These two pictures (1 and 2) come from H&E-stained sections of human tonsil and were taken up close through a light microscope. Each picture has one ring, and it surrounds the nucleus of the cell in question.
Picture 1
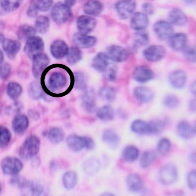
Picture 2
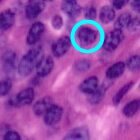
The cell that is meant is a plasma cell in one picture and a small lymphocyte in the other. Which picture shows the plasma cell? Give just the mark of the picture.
2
